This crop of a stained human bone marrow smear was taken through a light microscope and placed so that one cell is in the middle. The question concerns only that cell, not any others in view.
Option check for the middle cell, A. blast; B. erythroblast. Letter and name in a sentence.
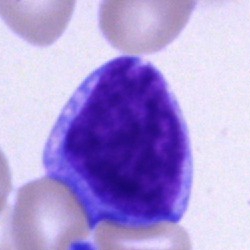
The correct response is option A, naming the cell in the middle as a blast.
